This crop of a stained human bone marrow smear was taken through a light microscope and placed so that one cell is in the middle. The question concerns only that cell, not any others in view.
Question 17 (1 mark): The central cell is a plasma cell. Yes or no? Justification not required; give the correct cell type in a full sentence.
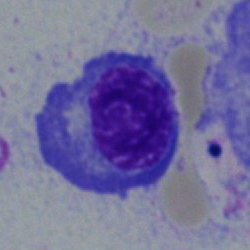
Yes, the cell at the crop's center is a plasma cell.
